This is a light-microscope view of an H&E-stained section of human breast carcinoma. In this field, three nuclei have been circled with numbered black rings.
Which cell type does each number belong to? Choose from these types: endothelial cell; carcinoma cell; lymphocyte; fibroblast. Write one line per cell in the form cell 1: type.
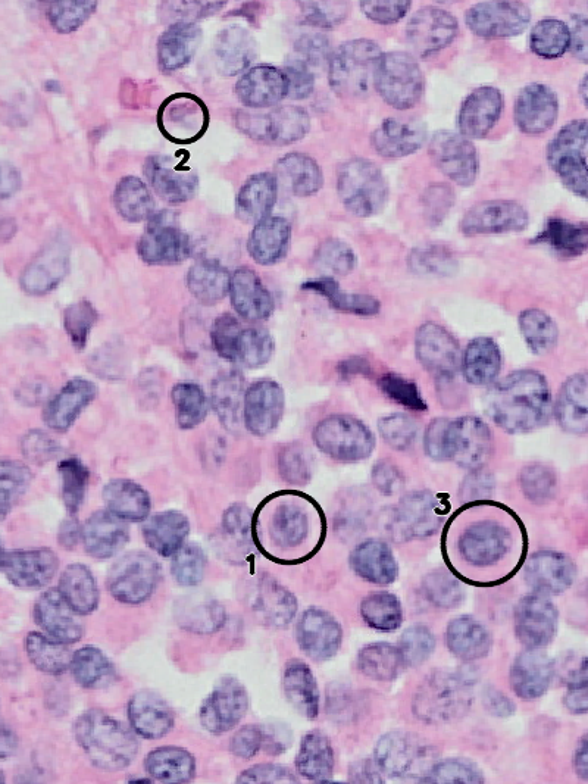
cell 1: carcinoma cell
cell 2: endothelial cell
cell 3: carcinoma cell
